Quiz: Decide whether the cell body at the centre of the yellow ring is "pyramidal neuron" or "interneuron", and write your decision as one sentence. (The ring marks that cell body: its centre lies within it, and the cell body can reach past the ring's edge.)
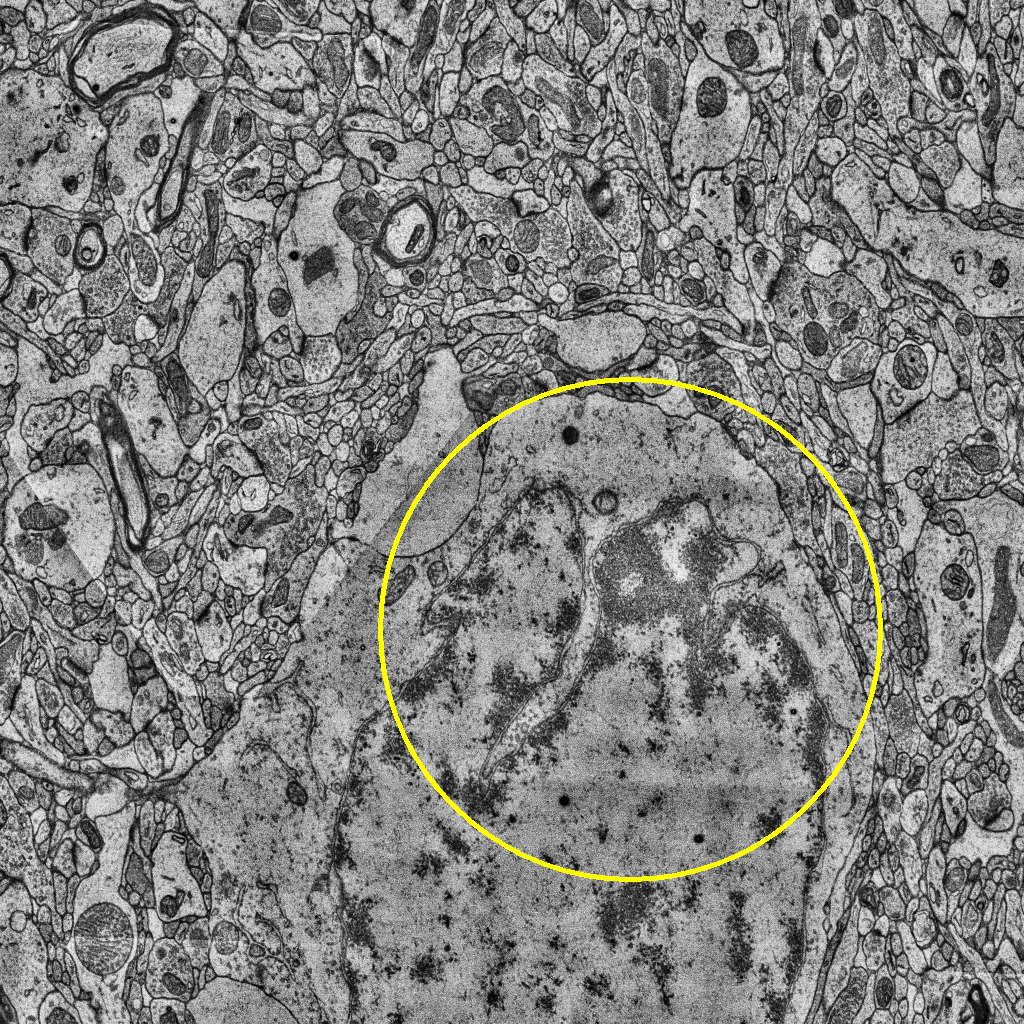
The cell holding the ring's centre is an interneuron.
